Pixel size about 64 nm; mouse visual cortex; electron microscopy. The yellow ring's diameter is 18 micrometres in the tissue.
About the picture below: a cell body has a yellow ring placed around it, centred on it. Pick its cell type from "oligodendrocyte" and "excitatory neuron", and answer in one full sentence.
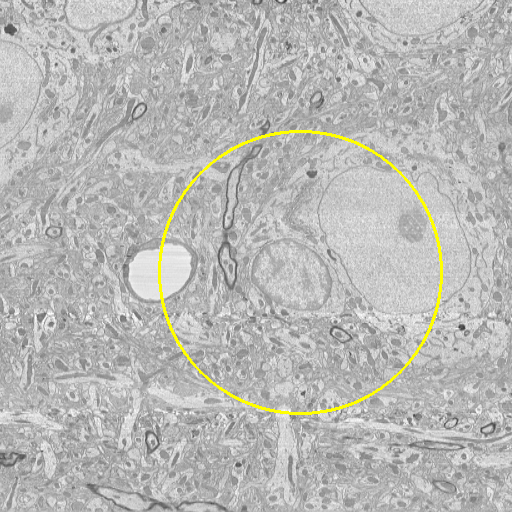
In the picture, an oligodendrocyte is the cell sitting at the centre of the yellow ring.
